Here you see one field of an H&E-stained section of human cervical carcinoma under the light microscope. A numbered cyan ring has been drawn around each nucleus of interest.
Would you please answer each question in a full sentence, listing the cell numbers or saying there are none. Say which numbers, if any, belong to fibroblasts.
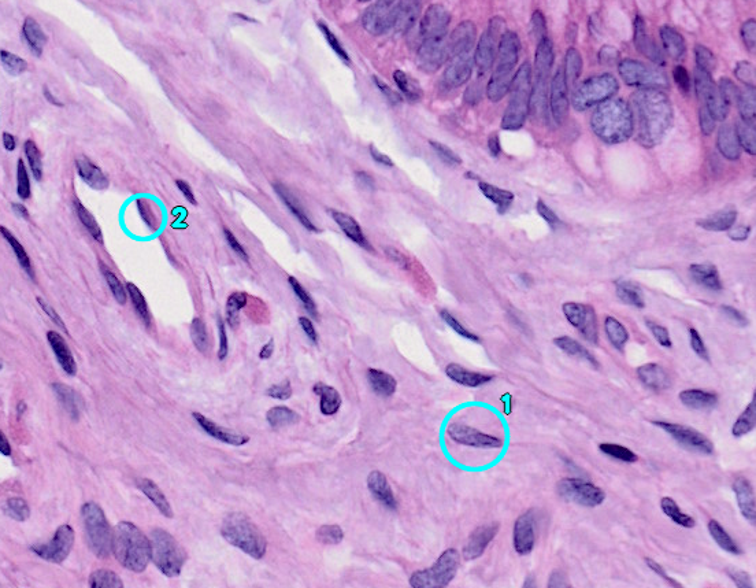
The only cell among those numbered to be a fibroblast is number 1.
